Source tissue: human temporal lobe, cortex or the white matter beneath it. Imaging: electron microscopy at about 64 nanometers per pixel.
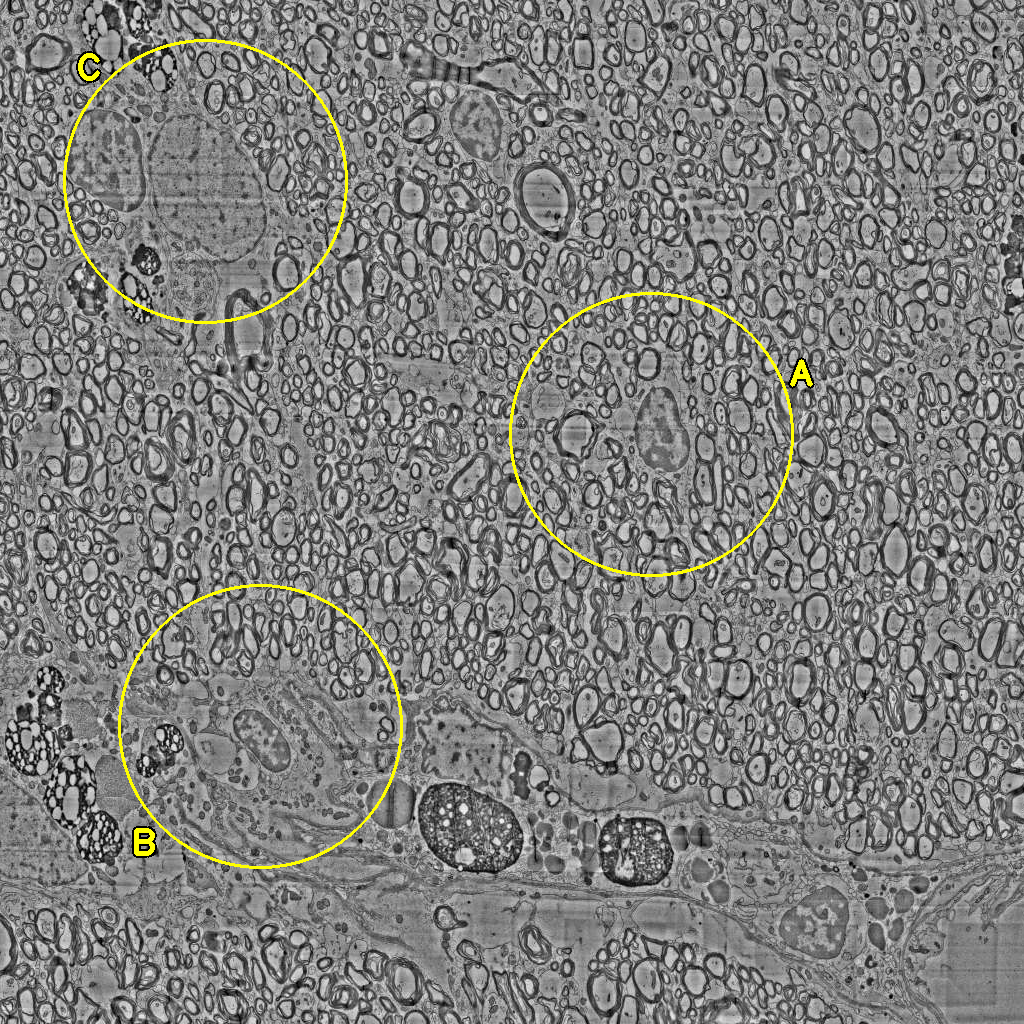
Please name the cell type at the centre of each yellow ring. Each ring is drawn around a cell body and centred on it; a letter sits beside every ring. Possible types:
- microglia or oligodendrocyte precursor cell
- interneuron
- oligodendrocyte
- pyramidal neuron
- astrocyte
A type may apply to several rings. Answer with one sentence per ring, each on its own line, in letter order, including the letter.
Ring A is centred on the cell body of a microglial cell or oligodendrocyte precursor cell.
Ring B is centred on the cell body of a microglial cell or oligodendrocyte precursor cell.
Ring C is centred on the cell body of an astrocyte.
